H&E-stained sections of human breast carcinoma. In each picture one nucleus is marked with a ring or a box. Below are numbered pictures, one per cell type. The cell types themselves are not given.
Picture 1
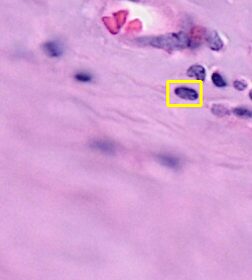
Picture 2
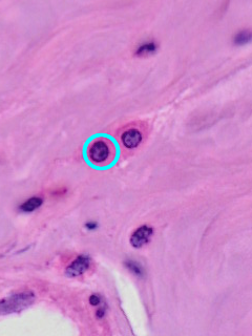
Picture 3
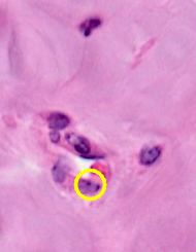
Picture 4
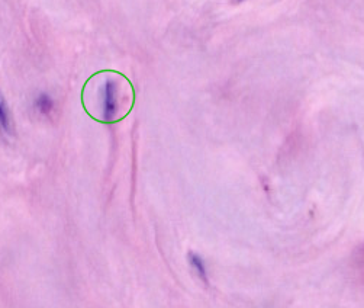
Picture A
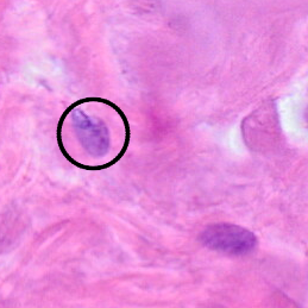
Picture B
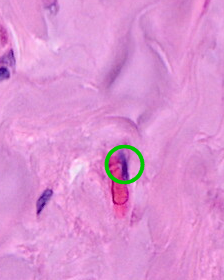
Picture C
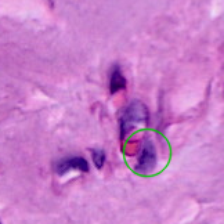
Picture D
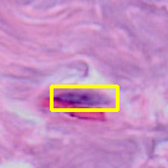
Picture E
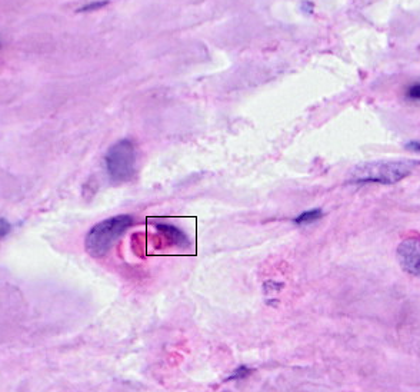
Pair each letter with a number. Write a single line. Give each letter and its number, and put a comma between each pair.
A 4, B 3, C 3, D 3, E 3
